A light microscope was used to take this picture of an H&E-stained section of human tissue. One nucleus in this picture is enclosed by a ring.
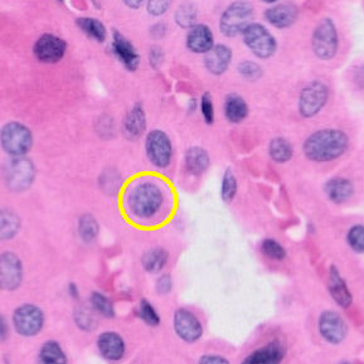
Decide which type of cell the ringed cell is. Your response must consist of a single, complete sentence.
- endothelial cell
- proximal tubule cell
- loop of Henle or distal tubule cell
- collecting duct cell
With respect to cell type, the ringed cell is a loop of Henle or distal tubule cell.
